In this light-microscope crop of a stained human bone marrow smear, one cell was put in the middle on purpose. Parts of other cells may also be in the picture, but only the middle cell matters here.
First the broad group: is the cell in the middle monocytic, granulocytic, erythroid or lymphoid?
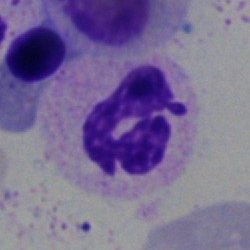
granulocytic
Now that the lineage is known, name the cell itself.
segmented neutrophil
